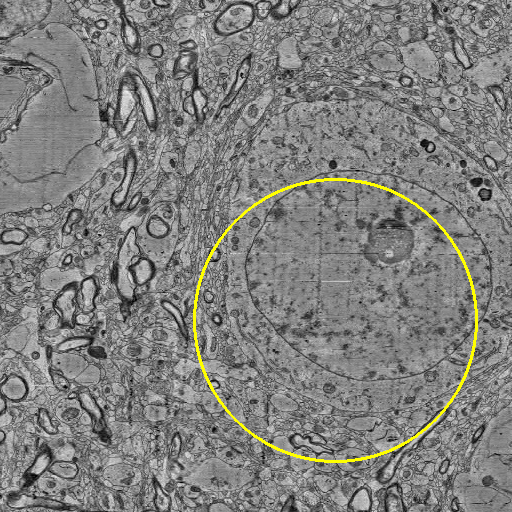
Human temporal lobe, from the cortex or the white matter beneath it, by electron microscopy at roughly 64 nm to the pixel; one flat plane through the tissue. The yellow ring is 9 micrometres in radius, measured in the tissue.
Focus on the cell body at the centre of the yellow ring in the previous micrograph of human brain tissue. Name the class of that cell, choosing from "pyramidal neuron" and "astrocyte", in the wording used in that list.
pyramidal neuron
